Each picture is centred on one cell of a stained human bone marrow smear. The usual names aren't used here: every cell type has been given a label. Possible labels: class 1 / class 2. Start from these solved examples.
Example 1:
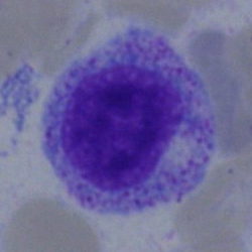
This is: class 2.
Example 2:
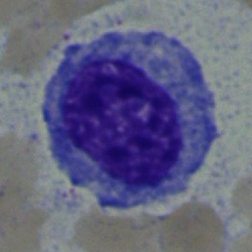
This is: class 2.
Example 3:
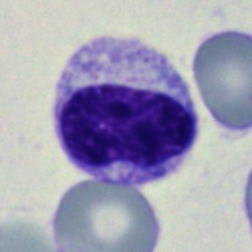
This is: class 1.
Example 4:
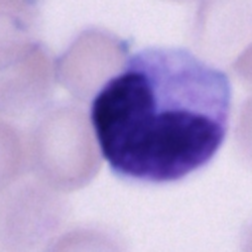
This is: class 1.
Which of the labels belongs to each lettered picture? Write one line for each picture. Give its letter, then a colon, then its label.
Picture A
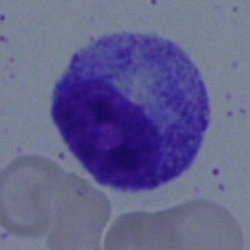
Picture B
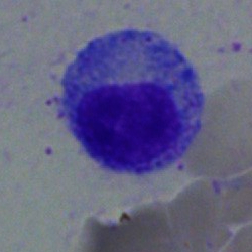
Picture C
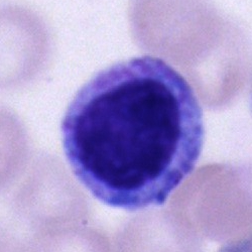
A: class 2.
B: class 2.
C: class 2.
